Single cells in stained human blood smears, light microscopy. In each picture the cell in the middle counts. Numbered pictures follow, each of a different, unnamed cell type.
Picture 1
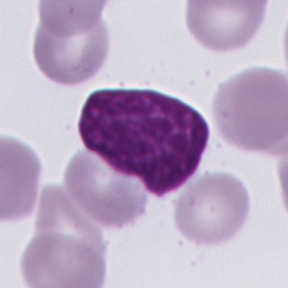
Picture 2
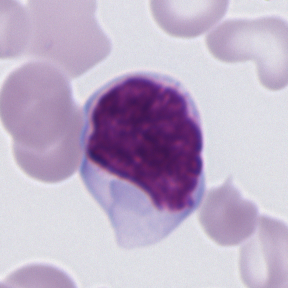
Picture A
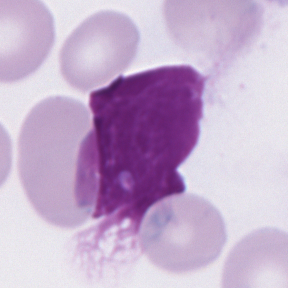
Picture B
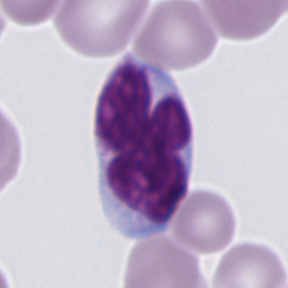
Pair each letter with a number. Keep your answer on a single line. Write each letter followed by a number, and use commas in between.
A 1, B 2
